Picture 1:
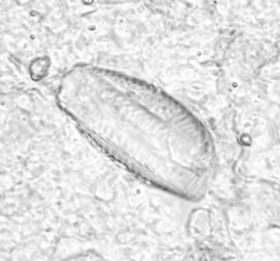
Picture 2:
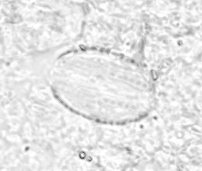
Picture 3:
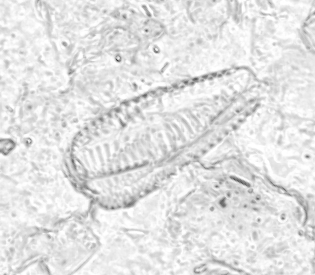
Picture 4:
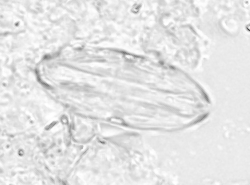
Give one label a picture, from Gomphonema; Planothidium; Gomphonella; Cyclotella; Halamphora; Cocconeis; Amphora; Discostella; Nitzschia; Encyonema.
1: Encyonema
2: Amphora
3: Gomphonella
4: Halamphora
